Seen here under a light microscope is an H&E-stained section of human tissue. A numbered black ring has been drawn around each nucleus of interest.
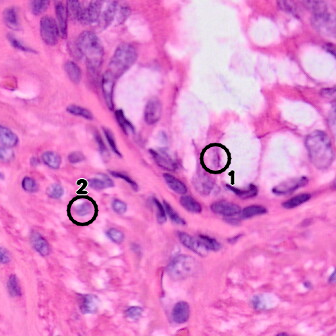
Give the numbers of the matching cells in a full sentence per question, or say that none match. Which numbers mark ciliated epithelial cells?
No marked cell except number 1 is a ciliated epithelial cell.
